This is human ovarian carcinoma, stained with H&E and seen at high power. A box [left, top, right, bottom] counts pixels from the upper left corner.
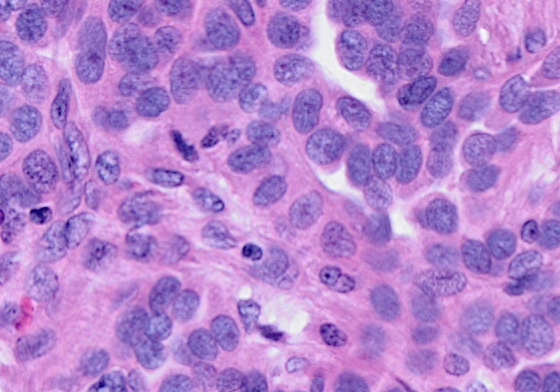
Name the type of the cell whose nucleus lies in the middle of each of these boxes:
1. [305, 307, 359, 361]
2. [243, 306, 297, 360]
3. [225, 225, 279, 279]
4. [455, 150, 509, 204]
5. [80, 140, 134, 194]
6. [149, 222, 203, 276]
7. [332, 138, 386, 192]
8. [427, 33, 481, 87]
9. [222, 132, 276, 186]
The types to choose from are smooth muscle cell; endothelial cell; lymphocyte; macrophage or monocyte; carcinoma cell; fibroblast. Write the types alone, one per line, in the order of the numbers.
macrophage or monocyte
fibroblast
lymphocyte
carcinoma cell
fibroblast
fibroblast
carcinoma cell
carcinoma cell
carcinoma cell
